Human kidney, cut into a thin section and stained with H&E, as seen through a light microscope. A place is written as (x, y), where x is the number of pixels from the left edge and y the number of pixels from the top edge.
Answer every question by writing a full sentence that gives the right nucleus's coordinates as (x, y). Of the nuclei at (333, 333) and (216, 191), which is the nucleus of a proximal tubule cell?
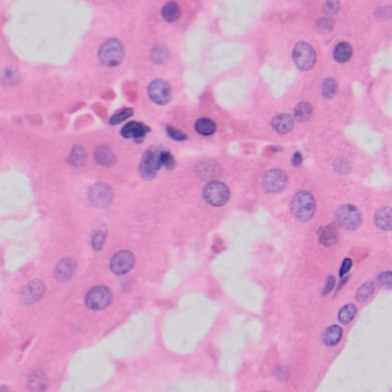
Belonging to a proximal tubule cell is the nucleus at (216, 191).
